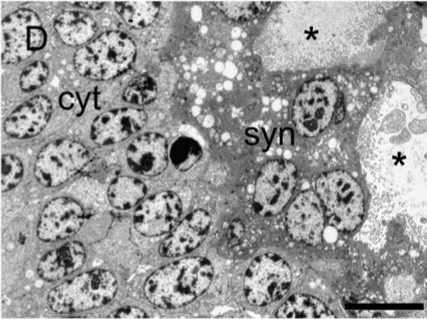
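The cytotrophoblast cells are packed closely, each with a large rounded to oval nucleus bearing clumps of dense chromatin along the envelope and scattered through the nucleoplasm, and a fairly pale cytoplasm. The syncytiotrophoblast has darker cytoplasm holding several nuclei and many small clear vacuoles. At its edge lie pale extracellular spaces, into which the syncytial surface sends fine finger-like projections, giving the spaces a fuzzy border.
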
